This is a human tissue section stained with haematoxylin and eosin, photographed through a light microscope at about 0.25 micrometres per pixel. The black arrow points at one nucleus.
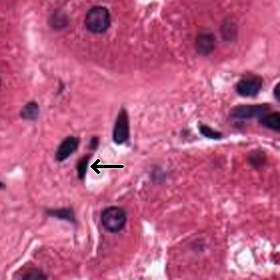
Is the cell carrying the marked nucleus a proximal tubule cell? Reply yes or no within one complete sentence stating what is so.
No, the marked nucleus is attributed to a supporting cell, not to a proximal tubule cell.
